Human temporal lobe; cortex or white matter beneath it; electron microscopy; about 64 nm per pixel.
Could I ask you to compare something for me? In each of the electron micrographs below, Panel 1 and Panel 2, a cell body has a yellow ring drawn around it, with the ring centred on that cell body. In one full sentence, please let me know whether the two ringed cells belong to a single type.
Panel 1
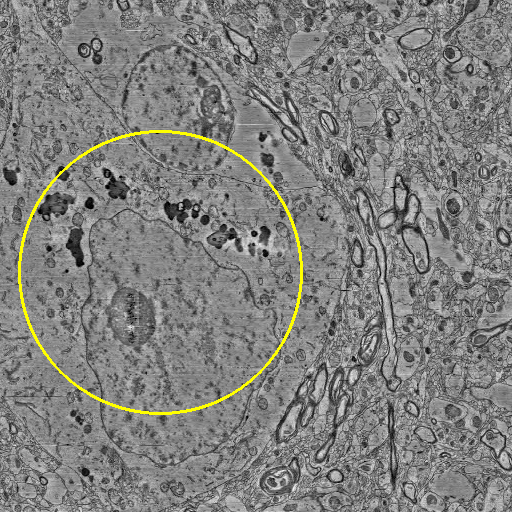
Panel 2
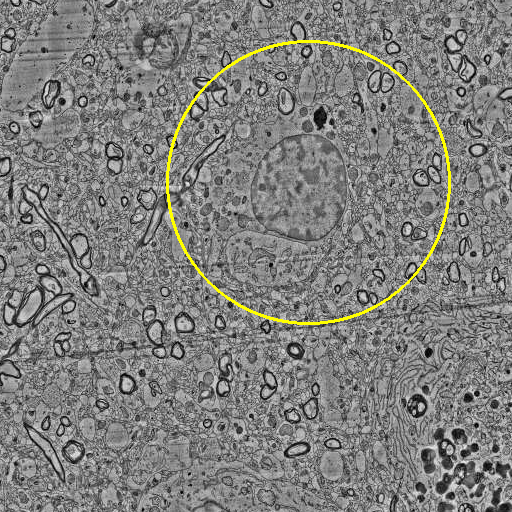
No, the two cells at the centres of the rings are of two types.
